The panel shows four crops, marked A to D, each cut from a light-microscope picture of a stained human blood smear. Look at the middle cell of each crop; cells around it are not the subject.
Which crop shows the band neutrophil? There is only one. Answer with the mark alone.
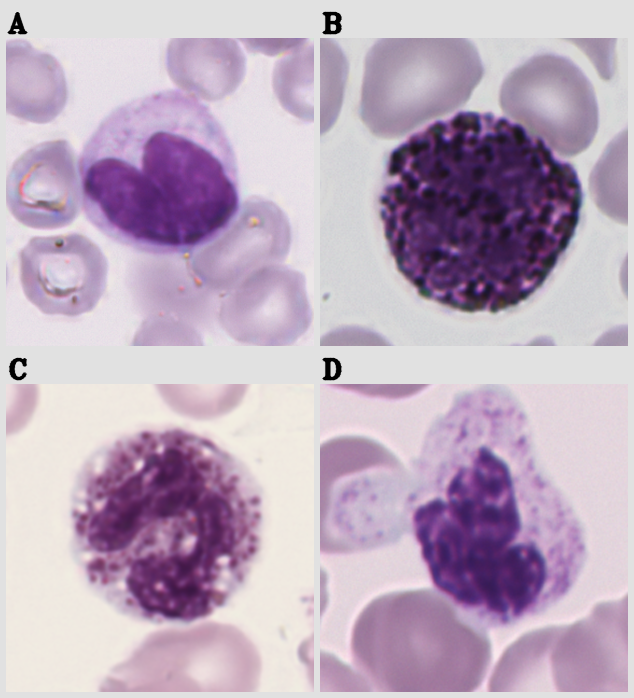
A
